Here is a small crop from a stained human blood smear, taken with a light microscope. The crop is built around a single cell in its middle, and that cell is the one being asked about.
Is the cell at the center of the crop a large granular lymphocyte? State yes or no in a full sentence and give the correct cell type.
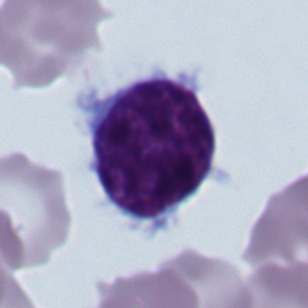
No, the central cell is counted as a hairy cell instead of a large granular lymphocyte.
